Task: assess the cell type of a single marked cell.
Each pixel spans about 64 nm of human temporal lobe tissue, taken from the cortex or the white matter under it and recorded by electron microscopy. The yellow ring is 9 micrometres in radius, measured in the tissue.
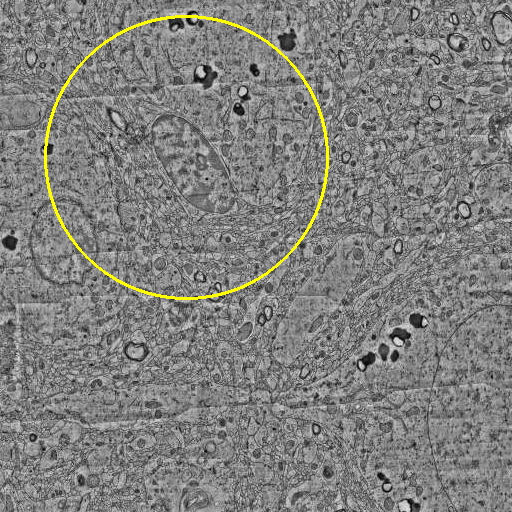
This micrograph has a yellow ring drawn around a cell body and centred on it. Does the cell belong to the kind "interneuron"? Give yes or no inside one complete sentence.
No, the marked cell at the centre of the ring belongs to another kind.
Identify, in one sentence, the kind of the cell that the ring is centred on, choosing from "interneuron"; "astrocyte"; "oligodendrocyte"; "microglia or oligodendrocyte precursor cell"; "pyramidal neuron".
Instead, the cell at the centre of the yellow ring is a microglial cell or oligodendrocyte precursor cell.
